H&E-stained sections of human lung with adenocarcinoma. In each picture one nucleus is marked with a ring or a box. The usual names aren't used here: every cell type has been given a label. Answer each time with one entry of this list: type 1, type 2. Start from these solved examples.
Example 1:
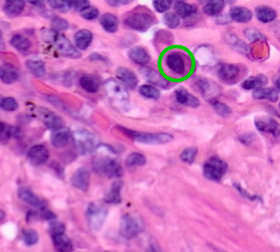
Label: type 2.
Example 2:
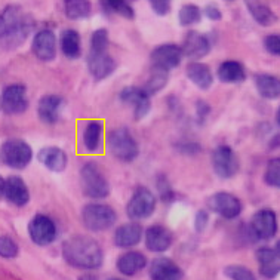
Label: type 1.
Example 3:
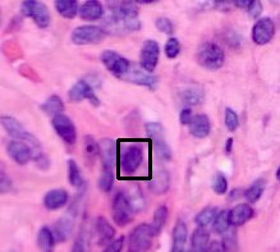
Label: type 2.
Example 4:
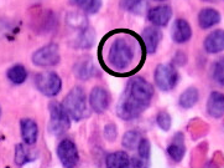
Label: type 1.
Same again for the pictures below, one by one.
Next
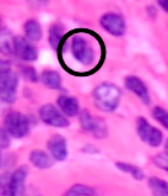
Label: type 1.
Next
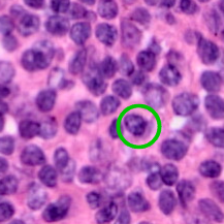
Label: type 1.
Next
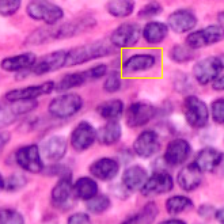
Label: type 1.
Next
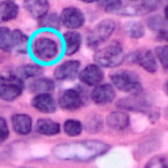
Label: type 1.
